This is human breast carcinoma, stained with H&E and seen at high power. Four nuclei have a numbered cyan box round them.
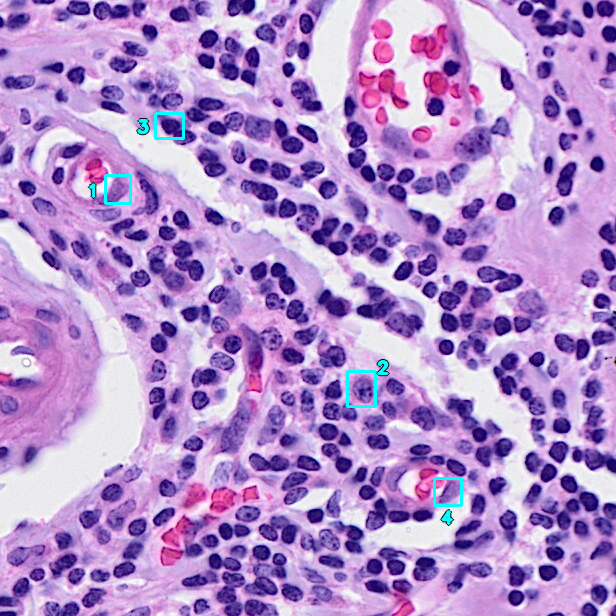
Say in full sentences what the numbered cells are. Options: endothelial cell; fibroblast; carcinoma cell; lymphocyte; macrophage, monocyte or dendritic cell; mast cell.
Cell 1 is an endothelial cell, cell 2 is a mast cell, cell 3 is a lymphocyte and cell 4 is an endothelial cell.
